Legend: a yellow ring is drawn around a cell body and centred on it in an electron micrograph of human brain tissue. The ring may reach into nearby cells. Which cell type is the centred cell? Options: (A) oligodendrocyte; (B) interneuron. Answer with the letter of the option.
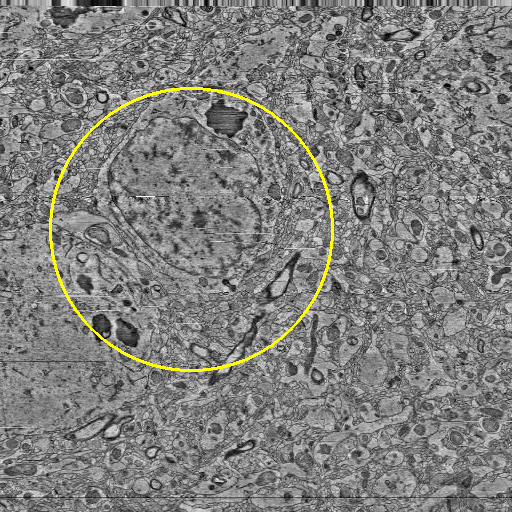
B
